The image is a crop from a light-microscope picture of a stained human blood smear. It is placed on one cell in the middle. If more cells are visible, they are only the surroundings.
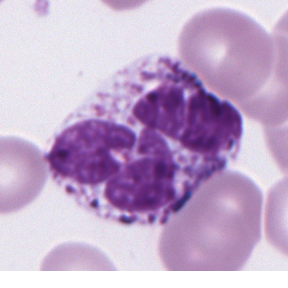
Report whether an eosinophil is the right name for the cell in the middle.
no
